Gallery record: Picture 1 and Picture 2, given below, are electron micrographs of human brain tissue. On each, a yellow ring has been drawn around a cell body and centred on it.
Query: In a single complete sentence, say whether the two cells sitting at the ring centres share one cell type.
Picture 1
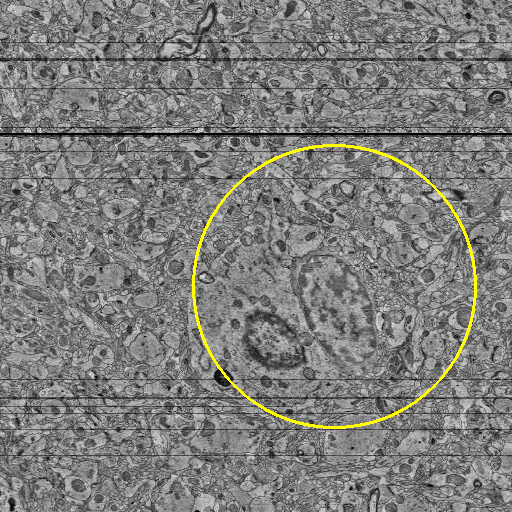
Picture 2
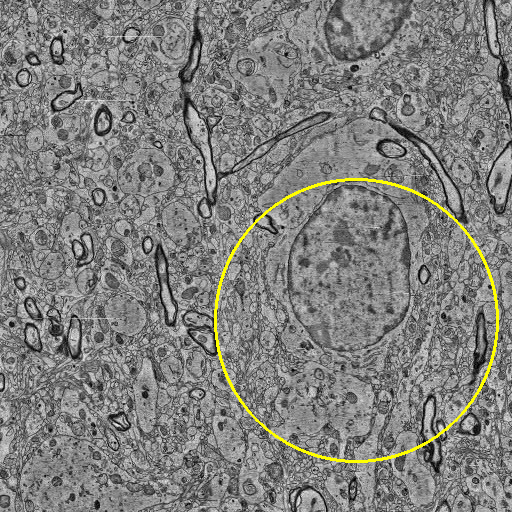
No, in the two pictures the cells at the rings' centres are of two separate types.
